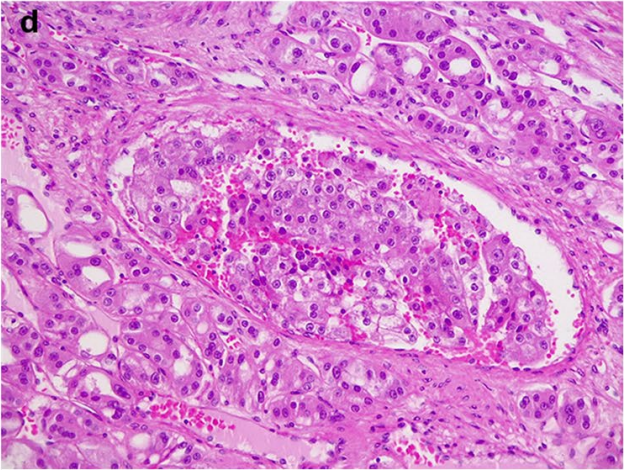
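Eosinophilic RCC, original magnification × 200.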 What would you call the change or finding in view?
Neoplastic vascular invasion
